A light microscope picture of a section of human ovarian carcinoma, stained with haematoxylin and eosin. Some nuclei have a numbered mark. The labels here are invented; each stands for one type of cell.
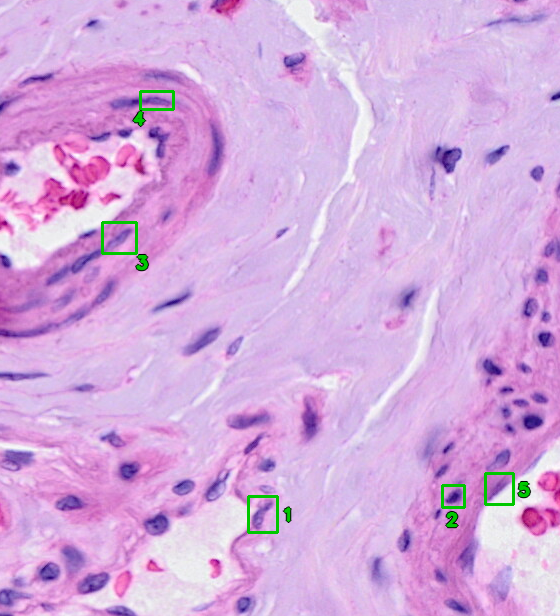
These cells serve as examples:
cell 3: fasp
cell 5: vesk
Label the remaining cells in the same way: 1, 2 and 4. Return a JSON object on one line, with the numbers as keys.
{"1": "vesk", "2": "fasp", "4": "fasp"}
